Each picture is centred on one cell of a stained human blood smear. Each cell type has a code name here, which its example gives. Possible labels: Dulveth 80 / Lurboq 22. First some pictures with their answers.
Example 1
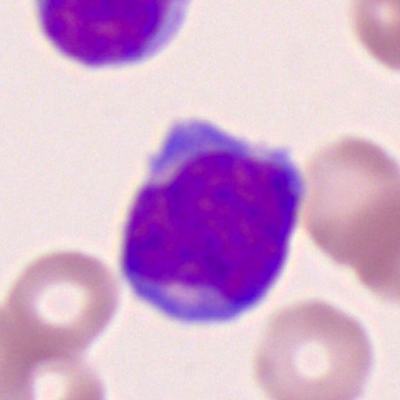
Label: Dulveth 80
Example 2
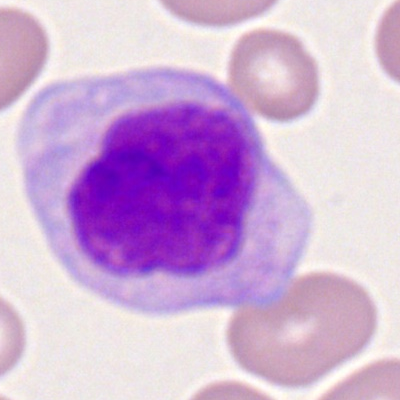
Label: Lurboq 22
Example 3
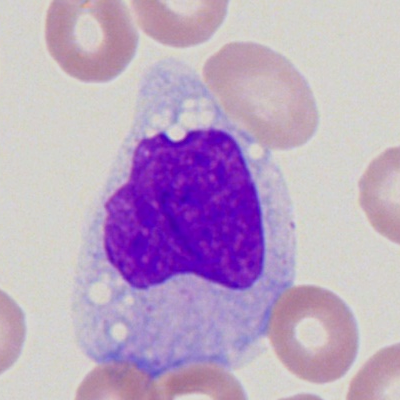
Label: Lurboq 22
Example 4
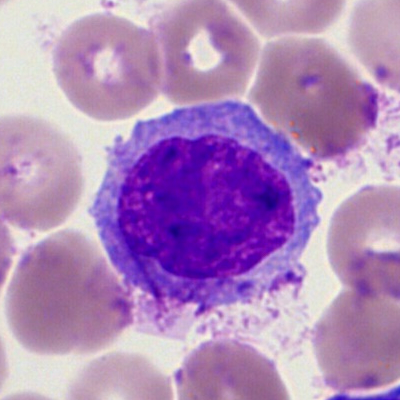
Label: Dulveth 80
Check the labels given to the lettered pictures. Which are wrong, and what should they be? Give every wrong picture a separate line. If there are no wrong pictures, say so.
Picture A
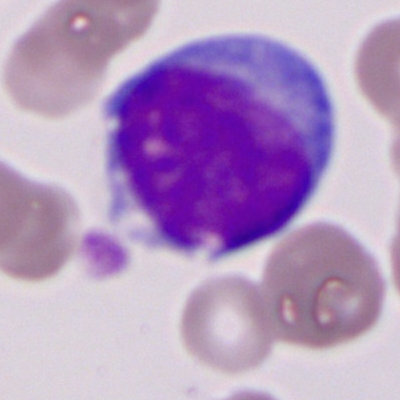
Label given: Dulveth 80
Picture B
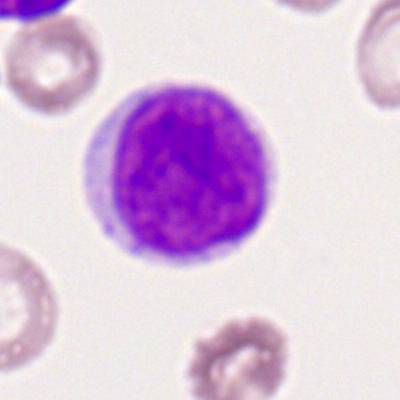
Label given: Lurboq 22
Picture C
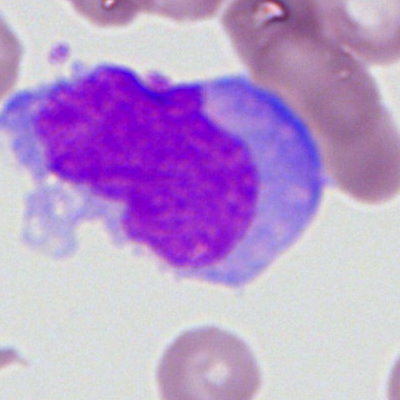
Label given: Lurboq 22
B should be Dulveth 80, not Lurboq 22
